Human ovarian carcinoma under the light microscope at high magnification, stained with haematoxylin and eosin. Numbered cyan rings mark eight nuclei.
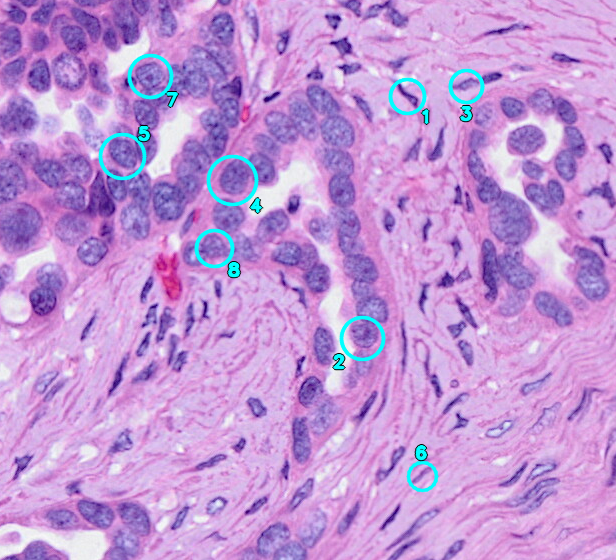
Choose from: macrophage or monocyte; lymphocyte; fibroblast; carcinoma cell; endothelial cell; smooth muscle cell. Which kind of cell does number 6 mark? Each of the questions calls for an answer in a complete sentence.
Looking at the numbered marks, cell 6 is a fibroblast.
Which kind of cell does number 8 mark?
To a carcinoma cell belongs the nucleus marked 8.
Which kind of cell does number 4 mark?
The cell tagged with 4 in this tissue section is a carcinoma cell.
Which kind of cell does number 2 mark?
The nucleus labelled 2 belongs to a carcinoma cell.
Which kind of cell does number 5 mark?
The cell indicated by marker 5 is a carcinoma cell in this section.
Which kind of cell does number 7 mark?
Here, the cell given the number 7 is a carcinoma cell.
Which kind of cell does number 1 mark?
Cell 1 in the field of view is a fibroblast.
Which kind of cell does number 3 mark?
Identified as a fibroblast is the cell bearing the number 3.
